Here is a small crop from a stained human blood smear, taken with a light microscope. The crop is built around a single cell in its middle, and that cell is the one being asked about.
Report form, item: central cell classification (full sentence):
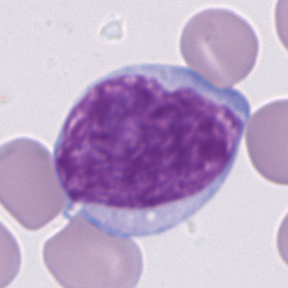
Centred in the crop is a blast.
